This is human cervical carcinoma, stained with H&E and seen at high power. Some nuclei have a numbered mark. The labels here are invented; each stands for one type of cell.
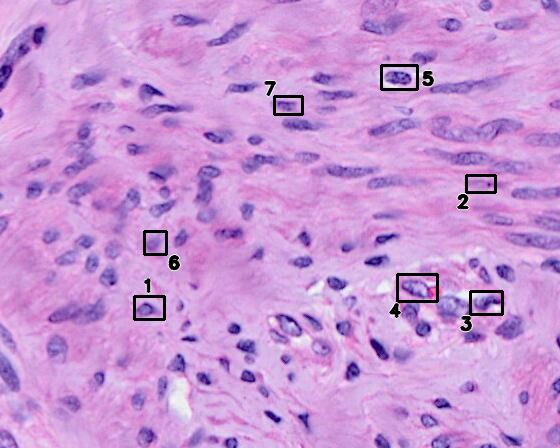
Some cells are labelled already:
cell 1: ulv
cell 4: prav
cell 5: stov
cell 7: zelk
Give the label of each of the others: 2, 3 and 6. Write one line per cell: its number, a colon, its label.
2: ulv
3: prav
6: ulv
